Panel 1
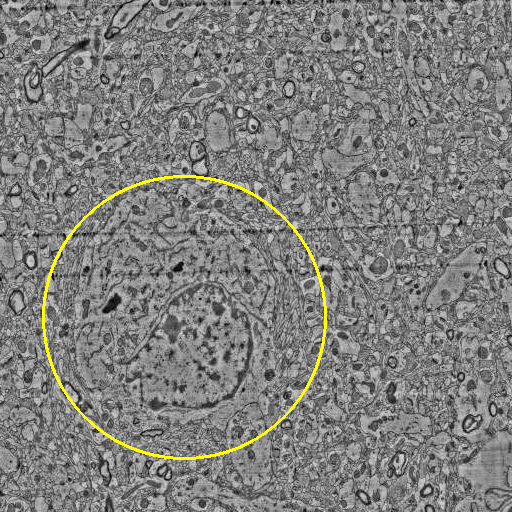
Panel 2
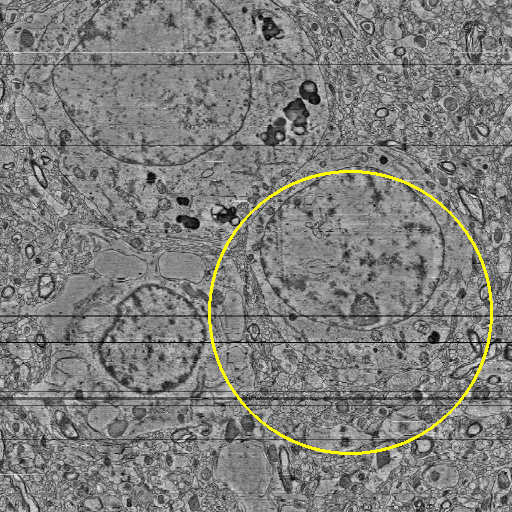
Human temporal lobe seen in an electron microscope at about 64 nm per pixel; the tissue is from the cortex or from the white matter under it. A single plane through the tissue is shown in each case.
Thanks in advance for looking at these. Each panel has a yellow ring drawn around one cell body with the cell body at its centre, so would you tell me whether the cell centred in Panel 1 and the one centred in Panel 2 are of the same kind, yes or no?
no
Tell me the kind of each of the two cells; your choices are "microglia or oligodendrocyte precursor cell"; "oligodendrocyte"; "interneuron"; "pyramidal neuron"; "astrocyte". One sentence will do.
The ringed cell is a microglial cell or oligodendrocyte precursor cell in the first picture and a pyramidal neuron in the second picture.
